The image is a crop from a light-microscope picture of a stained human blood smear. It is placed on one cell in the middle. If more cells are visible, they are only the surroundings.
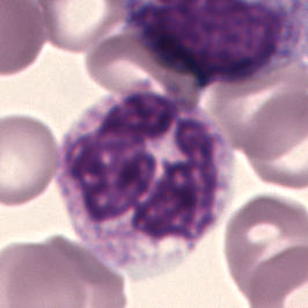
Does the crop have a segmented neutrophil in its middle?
yes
